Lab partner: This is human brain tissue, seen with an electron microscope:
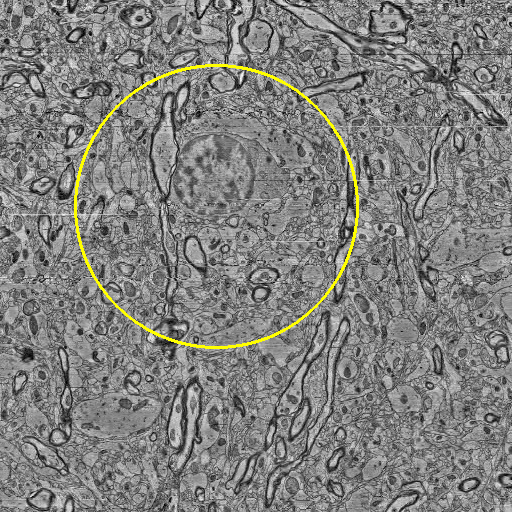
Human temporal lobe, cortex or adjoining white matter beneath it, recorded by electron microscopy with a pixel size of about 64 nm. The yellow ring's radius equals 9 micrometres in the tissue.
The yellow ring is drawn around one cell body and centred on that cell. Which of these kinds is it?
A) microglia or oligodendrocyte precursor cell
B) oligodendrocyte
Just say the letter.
B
